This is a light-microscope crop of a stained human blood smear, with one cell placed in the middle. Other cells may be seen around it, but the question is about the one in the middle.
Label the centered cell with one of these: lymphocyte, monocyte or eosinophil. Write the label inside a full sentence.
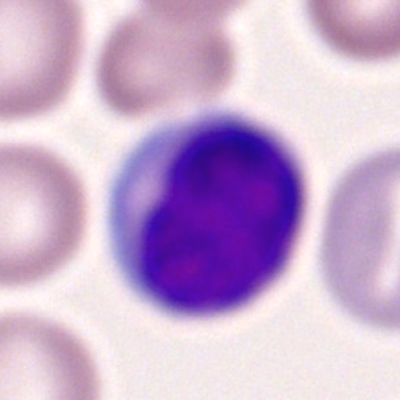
Classified as a lymphocyte is the cell in the middle of this crop.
